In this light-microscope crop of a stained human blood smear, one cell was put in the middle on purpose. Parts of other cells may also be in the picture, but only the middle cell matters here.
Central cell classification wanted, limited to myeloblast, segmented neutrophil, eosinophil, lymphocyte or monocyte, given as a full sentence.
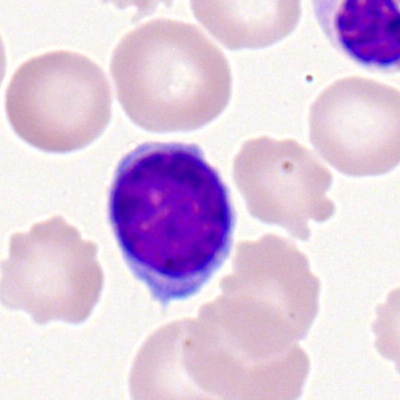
Positioned in the middle of the crop is a lymphocyte.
